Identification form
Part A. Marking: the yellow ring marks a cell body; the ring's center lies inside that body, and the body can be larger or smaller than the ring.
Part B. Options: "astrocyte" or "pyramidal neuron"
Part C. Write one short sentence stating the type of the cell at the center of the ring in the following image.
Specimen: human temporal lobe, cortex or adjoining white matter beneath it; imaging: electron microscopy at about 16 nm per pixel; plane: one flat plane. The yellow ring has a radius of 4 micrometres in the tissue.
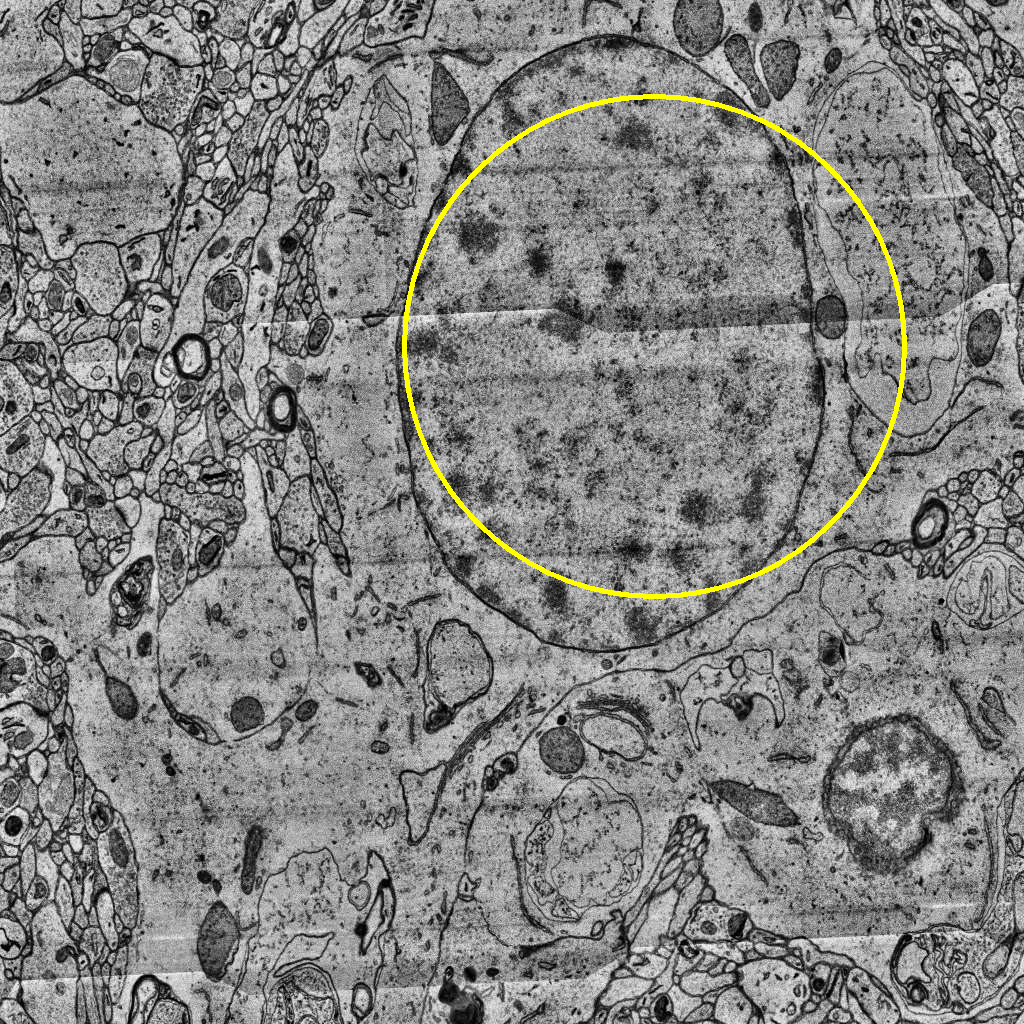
The center of the ring holds an astrocyte.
